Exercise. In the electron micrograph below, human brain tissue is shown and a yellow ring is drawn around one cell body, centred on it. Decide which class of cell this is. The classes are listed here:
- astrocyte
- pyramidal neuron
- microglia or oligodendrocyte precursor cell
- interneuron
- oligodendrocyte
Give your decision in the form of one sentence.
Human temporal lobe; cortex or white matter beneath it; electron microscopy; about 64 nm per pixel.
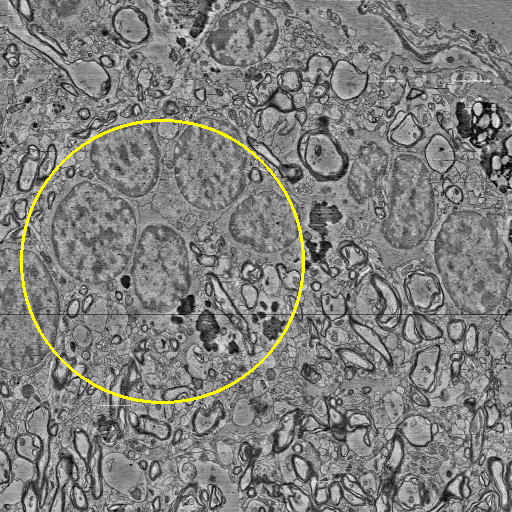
The cell body marked by the ring belongs to an oligodendrocyte.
